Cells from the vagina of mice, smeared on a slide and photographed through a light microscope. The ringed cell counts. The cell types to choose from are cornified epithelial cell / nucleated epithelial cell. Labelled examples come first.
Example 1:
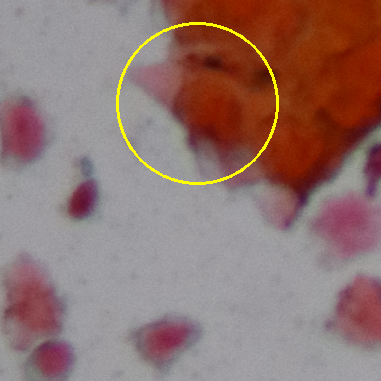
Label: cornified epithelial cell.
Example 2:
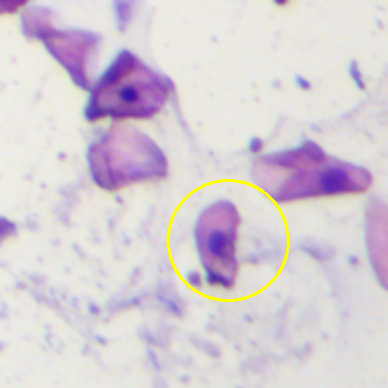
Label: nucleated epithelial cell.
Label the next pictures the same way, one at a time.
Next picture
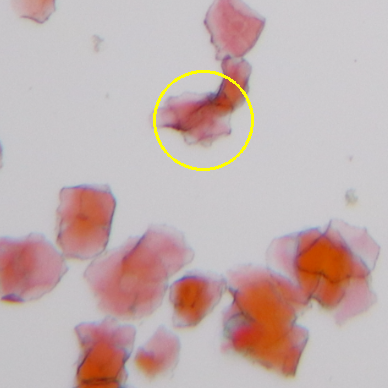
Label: cornified epithelial cell.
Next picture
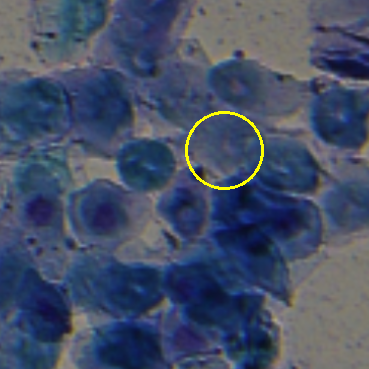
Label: cornified epithelial cell.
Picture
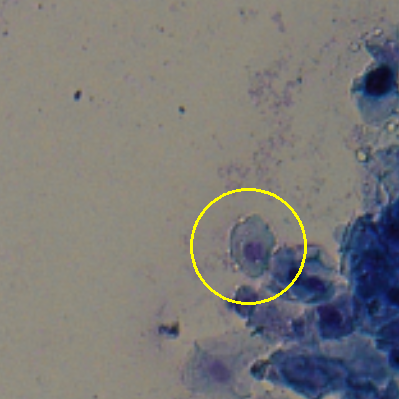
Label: nucleated epithelial cell.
